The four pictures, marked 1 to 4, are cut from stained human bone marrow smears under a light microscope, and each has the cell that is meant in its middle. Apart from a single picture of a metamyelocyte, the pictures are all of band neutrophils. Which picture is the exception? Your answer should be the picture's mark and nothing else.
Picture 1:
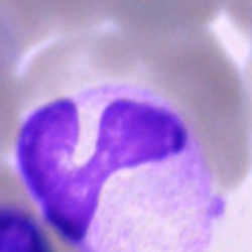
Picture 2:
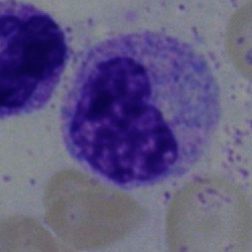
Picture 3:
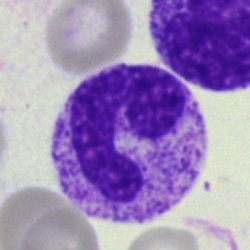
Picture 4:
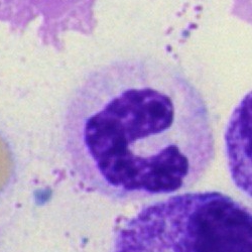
2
